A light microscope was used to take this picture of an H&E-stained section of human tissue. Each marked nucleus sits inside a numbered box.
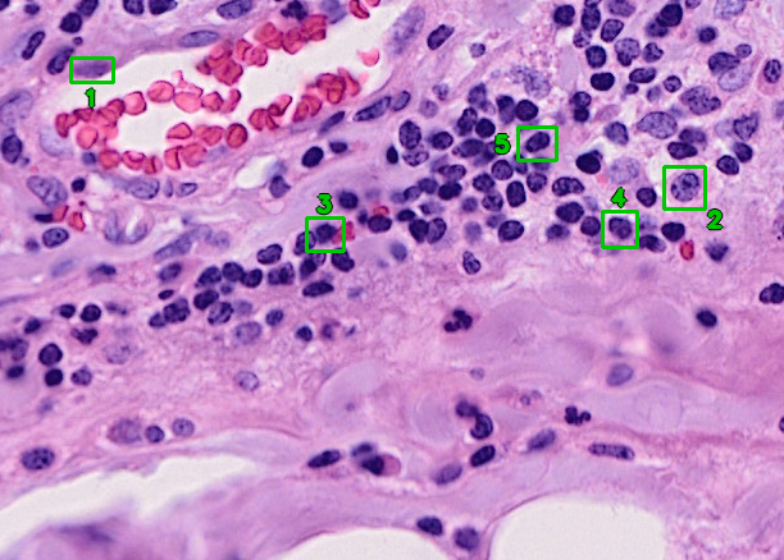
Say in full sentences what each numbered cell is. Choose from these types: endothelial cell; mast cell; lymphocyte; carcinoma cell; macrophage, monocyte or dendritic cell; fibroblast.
Cell 1 is an endothelial cell, cell 2 is a mast cell, cell 3 is a lymphocyte, cell 4 is a lymphocyte and cell 5 is a lymphocyte.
